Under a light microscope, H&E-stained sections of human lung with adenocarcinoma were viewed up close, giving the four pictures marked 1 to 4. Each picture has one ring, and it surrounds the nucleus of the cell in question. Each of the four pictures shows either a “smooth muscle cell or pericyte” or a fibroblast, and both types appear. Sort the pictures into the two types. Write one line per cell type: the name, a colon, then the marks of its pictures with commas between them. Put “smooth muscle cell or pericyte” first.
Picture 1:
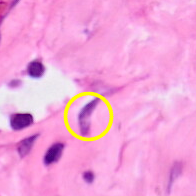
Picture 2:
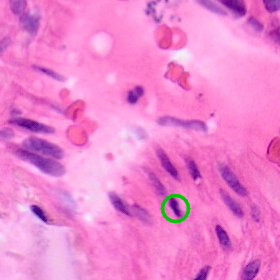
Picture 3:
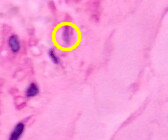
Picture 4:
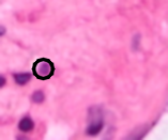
smooth muscle cell or pericyte: 2, 3, 4
fibroblast: 1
